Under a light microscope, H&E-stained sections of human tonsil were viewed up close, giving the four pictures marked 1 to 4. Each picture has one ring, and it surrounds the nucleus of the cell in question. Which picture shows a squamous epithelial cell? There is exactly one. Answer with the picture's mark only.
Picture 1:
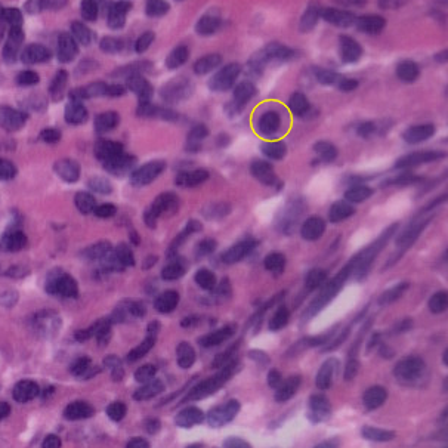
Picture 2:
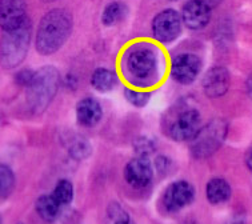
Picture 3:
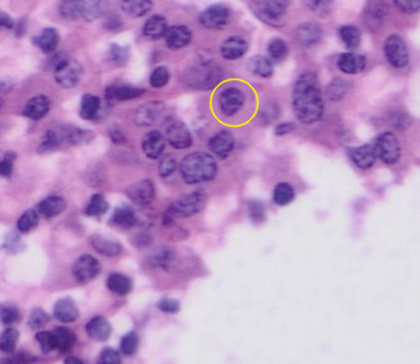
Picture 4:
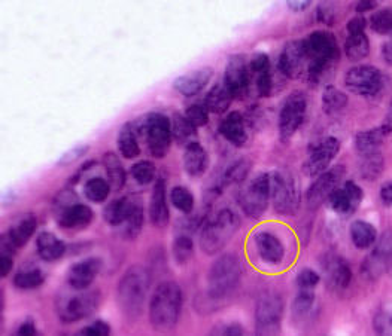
4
